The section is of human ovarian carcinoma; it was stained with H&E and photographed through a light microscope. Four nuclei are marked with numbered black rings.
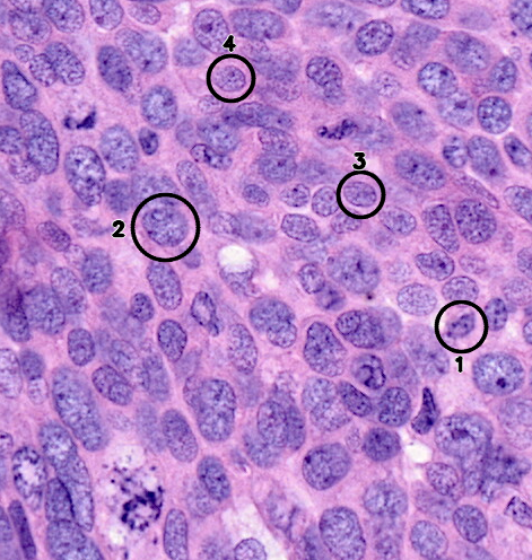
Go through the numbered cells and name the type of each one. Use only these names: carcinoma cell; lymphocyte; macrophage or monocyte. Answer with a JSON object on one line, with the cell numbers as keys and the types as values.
{"1": "macrophage or monocyte", "2": "carcinoma cell", "3": "carcinoma cell", "4": "carcinoma cell"}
